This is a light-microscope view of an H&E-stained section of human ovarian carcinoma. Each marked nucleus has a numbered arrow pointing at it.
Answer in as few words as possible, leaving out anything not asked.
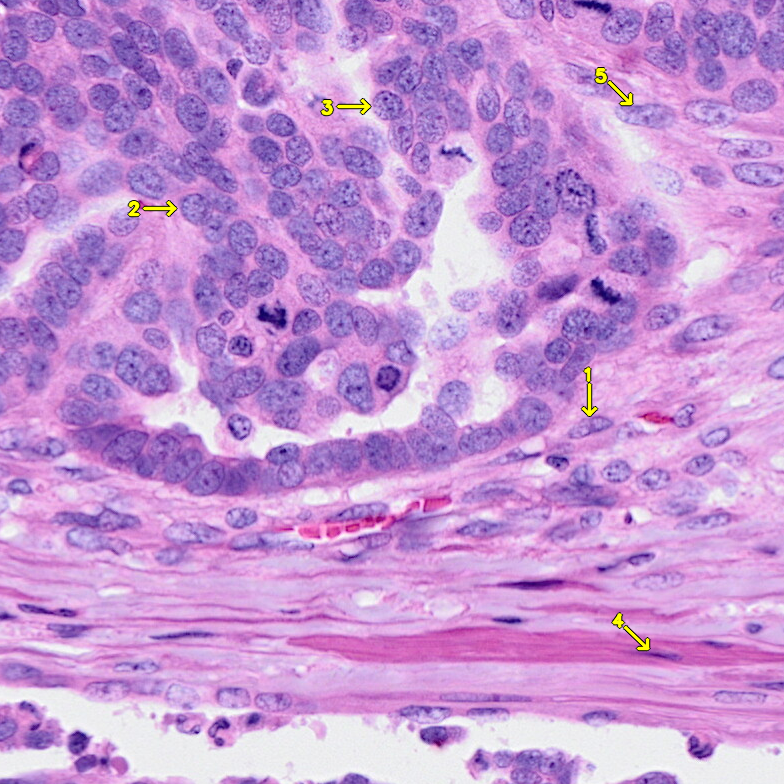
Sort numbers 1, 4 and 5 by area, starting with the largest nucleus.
5, 1, 4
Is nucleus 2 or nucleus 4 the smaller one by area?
4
